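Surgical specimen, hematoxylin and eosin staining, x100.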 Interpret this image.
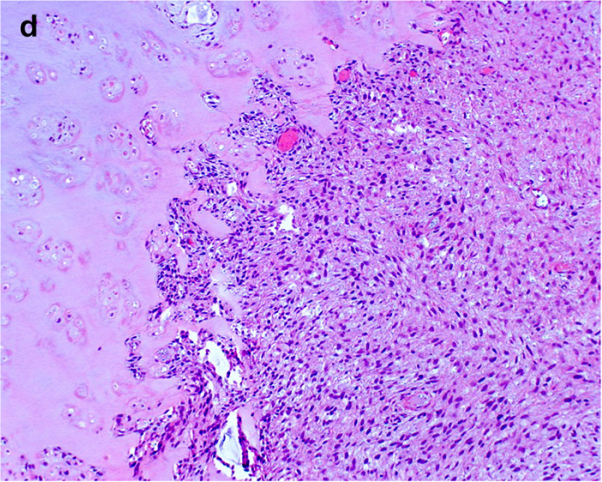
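At the left lies cartilage with chondrocytes in lacunae in a pale matrix. It meets abruptly a densely cellular tissue of atypical spindle cells with elongated dark nuclei arranged in streaming fascicles in a pink collagenous stroma, resembling fibrosarcoma.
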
